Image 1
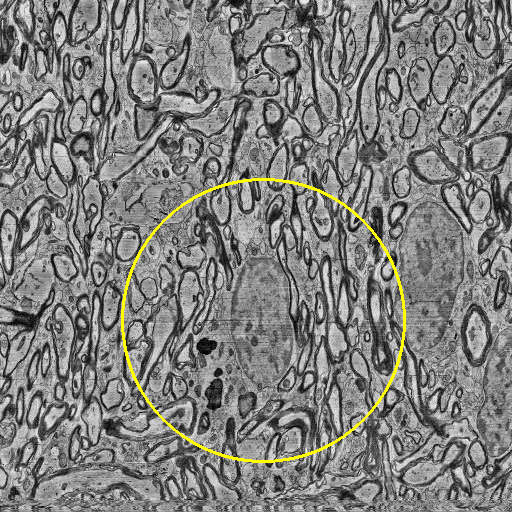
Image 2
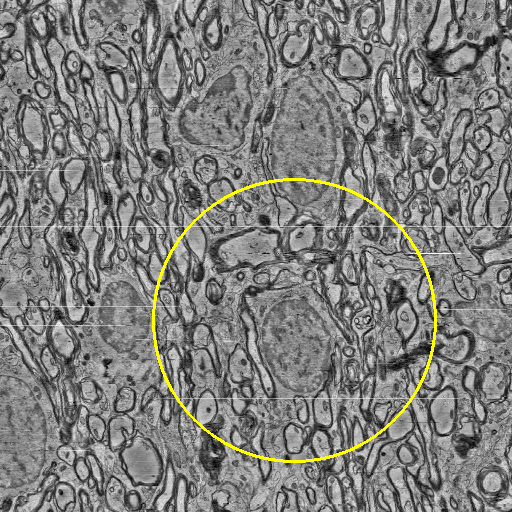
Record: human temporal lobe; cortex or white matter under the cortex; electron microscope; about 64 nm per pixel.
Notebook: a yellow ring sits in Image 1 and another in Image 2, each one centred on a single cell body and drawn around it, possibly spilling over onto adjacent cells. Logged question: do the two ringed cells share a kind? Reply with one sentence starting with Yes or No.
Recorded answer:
Yes, both centre cells inside the rings of Image 1 and Image 2 share one kind.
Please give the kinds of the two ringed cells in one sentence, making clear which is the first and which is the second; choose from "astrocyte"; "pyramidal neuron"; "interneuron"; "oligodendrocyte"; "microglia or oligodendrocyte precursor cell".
Each of the two cells is an oligodendrocyte.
